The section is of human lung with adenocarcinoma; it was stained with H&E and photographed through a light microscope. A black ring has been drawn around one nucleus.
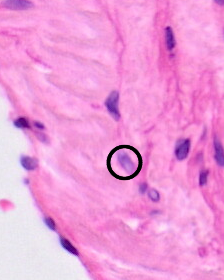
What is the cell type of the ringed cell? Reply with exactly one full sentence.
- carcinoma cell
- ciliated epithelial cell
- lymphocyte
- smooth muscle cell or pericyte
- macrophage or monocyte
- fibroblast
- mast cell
In the tissue at hand, the ringed cell is a smooth muscle cell or pericyte.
